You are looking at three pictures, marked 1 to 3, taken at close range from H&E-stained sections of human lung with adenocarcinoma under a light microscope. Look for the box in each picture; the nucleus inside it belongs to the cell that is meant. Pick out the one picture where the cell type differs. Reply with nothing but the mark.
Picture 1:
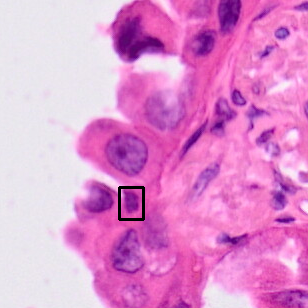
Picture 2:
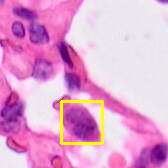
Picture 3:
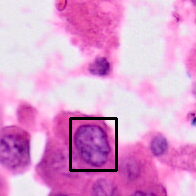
2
